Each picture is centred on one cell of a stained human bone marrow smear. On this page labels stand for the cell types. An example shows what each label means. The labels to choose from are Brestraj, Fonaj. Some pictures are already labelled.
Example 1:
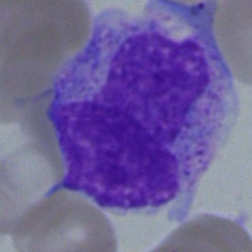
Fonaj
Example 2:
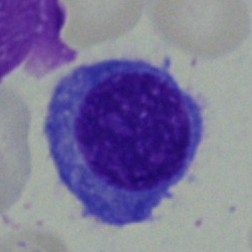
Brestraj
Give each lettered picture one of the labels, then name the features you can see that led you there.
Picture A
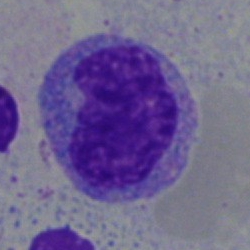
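Answer: Fonaj. The nucleus fills most of the cell.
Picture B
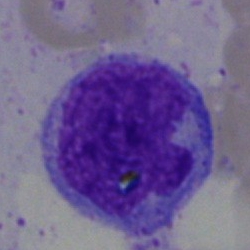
Answer: Fonaj. The nucleus fills most of the cell.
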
